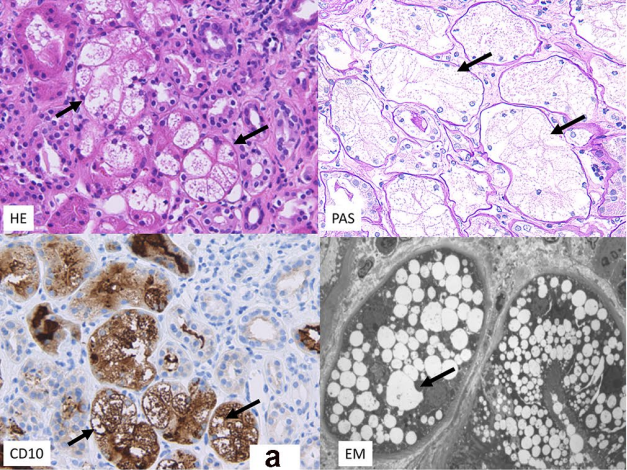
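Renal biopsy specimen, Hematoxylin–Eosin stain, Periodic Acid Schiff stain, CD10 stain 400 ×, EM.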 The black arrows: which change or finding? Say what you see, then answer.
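The arrowed tubules have cytoplasm filled with many clear, empty-looking spaces. In the electron micrograph the tubular cells are packed with round, pale vacuoles of varying size. The answer: vacuolated.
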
